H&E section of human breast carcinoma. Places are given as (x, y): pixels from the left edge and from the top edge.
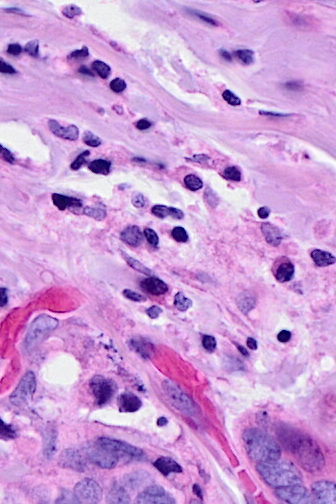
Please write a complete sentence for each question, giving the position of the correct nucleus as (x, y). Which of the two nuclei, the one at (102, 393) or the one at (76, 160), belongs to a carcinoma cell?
Of the two nuclei, that at (102, 393) is the nucleus of a carcinoma cell.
